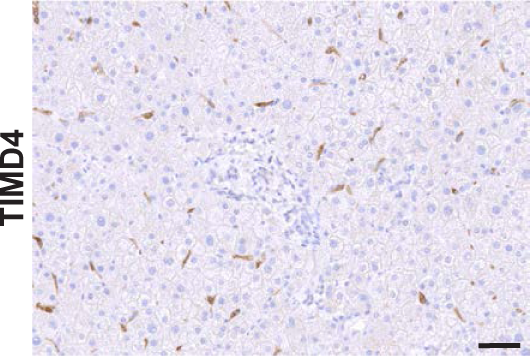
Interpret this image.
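This is liver parenchyma made of large polygonal hepatocytes with round blue nuclei arranged in plates. Scattered between the plates lie slender, elongated brown-stained cells that follow the narrow spaces between hepatocytes.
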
